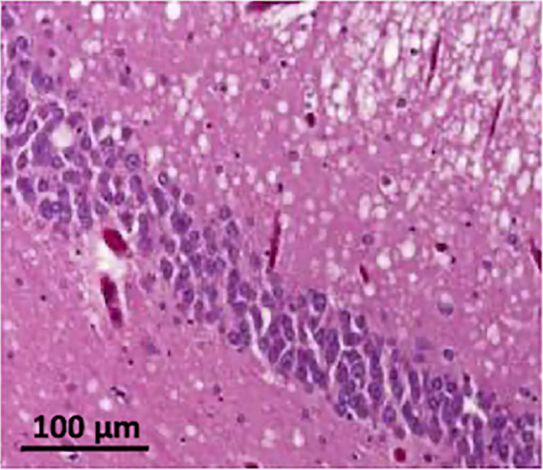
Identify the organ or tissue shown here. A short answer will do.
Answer: Hippocampus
